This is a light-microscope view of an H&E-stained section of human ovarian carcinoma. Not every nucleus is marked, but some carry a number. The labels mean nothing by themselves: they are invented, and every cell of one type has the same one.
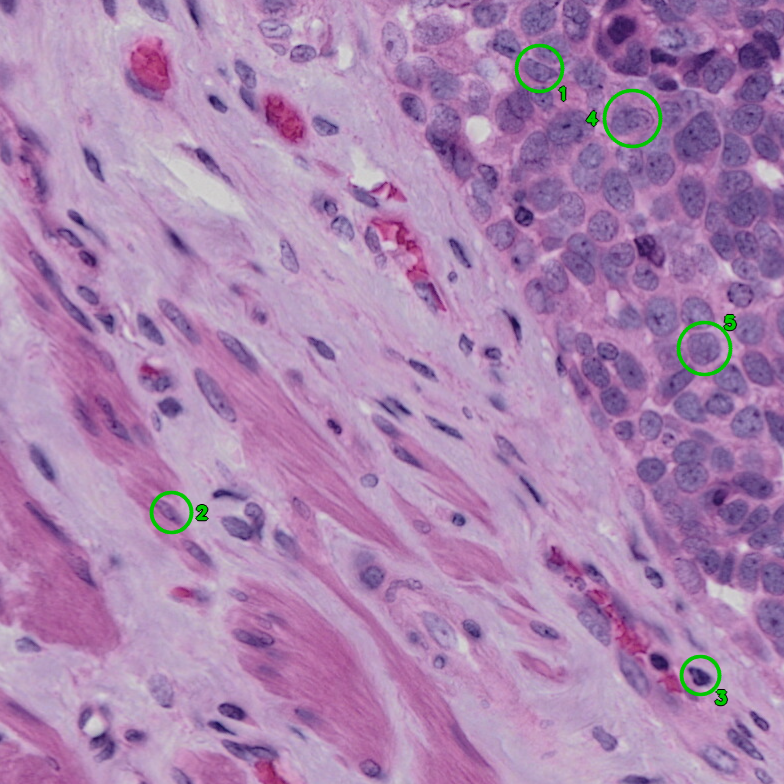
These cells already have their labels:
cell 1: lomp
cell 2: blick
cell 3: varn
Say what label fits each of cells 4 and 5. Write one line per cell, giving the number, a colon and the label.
4: lomp
5: lomp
